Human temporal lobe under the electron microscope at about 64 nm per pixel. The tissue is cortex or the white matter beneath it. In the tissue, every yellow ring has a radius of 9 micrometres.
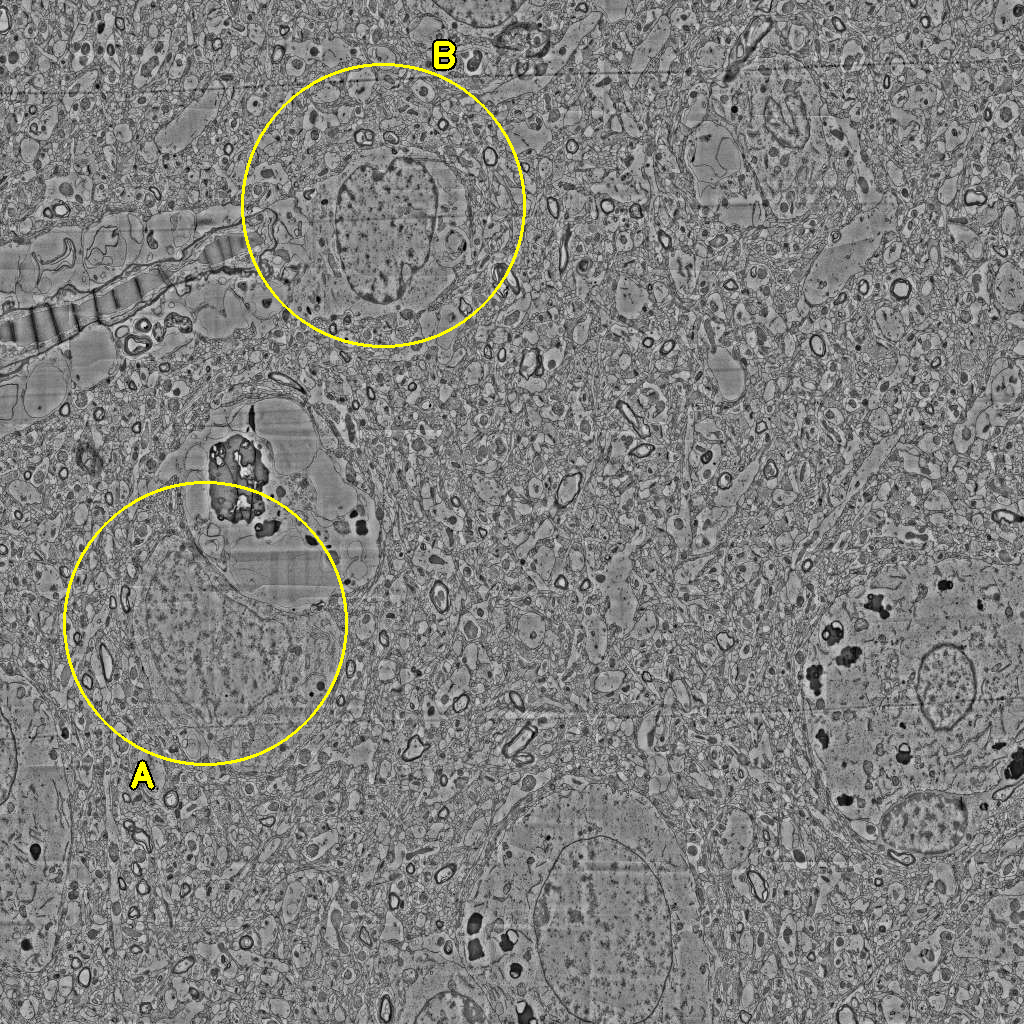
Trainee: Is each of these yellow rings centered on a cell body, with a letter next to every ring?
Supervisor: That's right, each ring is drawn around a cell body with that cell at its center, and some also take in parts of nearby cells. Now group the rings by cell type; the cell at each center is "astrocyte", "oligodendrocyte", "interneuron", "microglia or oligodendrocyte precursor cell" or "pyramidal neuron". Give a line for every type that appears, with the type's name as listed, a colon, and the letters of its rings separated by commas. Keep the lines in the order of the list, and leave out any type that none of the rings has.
interneuron: A
microglia or oligodendrocyte precursor cell: B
